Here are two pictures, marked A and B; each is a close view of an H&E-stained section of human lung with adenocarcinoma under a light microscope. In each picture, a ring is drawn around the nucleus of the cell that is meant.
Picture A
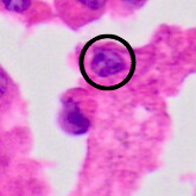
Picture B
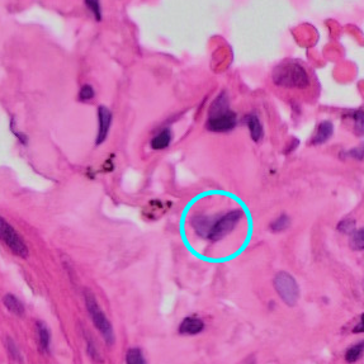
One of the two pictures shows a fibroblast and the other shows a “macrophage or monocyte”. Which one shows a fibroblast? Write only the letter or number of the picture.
B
